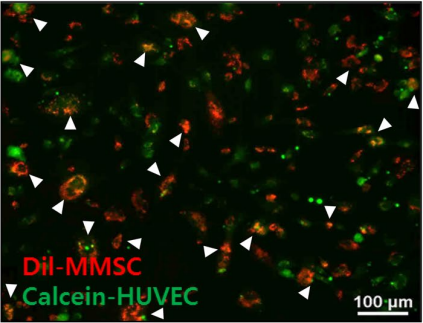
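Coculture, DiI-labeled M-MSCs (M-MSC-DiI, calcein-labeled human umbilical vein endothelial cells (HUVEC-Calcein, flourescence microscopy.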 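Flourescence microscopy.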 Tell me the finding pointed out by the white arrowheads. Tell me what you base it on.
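The cells marked by arrowheads show red and green together, appearing yellow-orange. Unmarked cells are mostly only red or only green. On this evidence: Dye-transfer.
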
